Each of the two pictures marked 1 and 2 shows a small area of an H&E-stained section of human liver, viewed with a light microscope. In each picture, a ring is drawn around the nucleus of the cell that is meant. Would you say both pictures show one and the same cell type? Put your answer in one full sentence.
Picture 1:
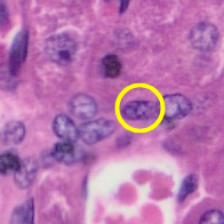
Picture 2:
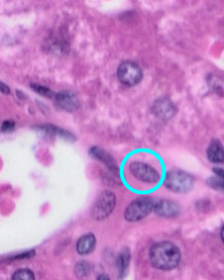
Yes, the two pictures both show cholangiocytes.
